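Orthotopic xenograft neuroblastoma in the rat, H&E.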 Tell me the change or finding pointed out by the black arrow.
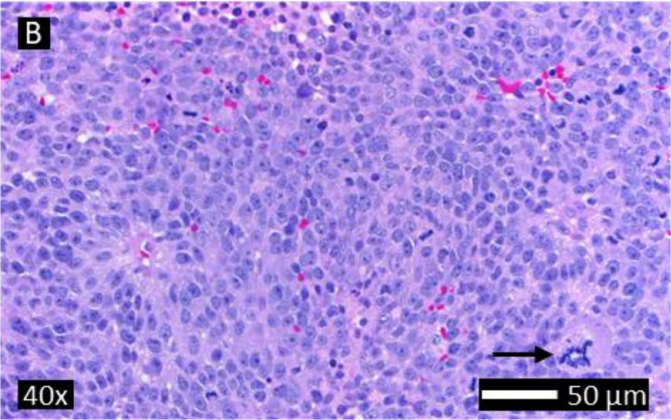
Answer: Anaplastic mitosis.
